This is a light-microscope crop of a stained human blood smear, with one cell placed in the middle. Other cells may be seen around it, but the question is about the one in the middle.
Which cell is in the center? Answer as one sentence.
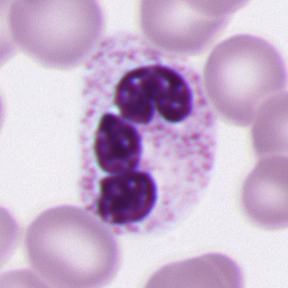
In the crop, the cell of interest at the centre is a segmented neutrophil.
